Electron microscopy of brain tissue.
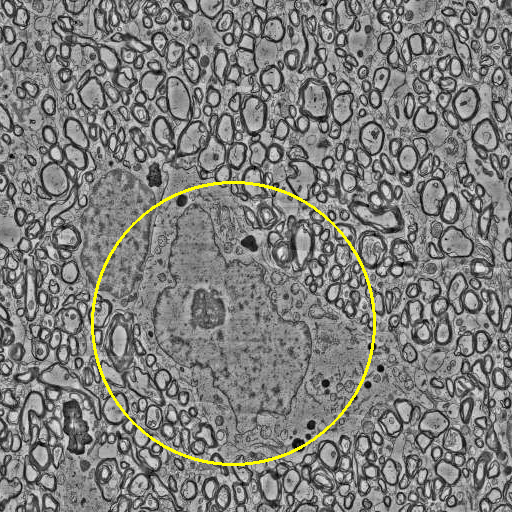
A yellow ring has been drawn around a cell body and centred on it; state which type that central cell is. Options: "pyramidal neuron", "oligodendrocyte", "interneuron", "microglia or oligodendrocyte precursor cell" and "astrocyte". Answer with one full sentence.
The cell at the middle of the yellow ring is a pyramidal neuron in this picture.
